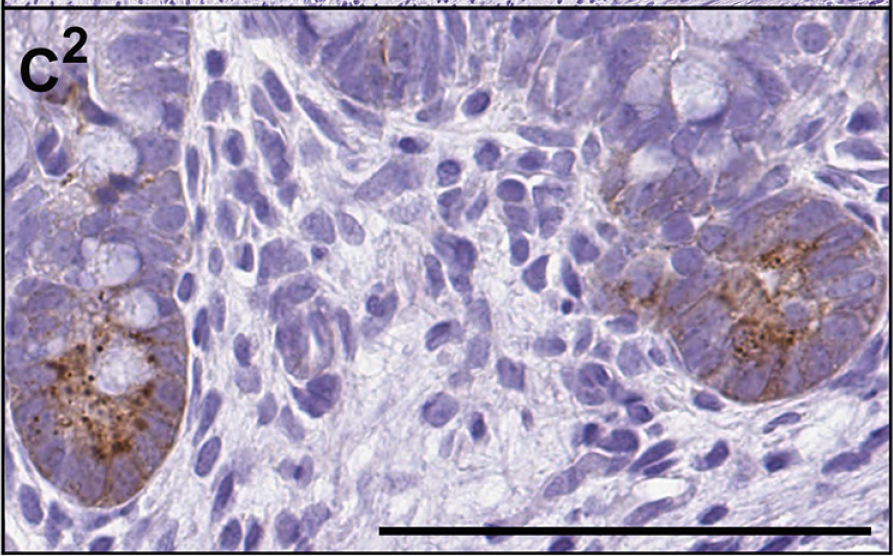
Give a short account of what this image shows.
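Brown granular stain is spread through the cytoplasm of the cells in these clusters, densest toward their centre. A few pale, rounded cells with clear cytoplasm lie among them. The surrounding mesenchyme has loosely scattered cells with smaller, spindle or oval nuclei and no brown stain.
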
